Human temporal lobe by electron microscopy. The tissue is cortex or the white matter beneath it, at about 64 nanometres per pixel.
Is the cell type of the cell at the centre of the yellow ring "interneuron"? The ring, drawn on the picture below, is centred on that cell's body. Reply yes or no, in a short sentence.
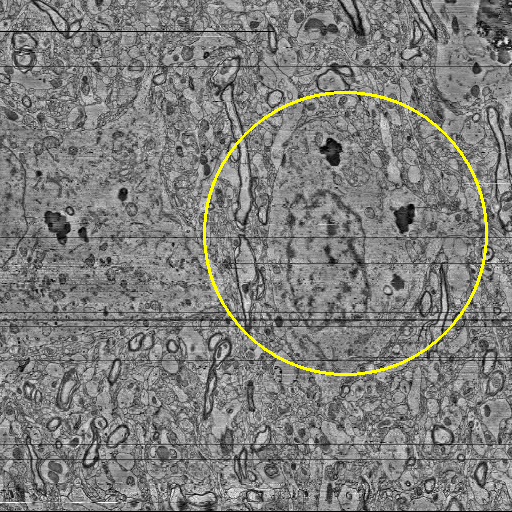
Yes, that is its cell type.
